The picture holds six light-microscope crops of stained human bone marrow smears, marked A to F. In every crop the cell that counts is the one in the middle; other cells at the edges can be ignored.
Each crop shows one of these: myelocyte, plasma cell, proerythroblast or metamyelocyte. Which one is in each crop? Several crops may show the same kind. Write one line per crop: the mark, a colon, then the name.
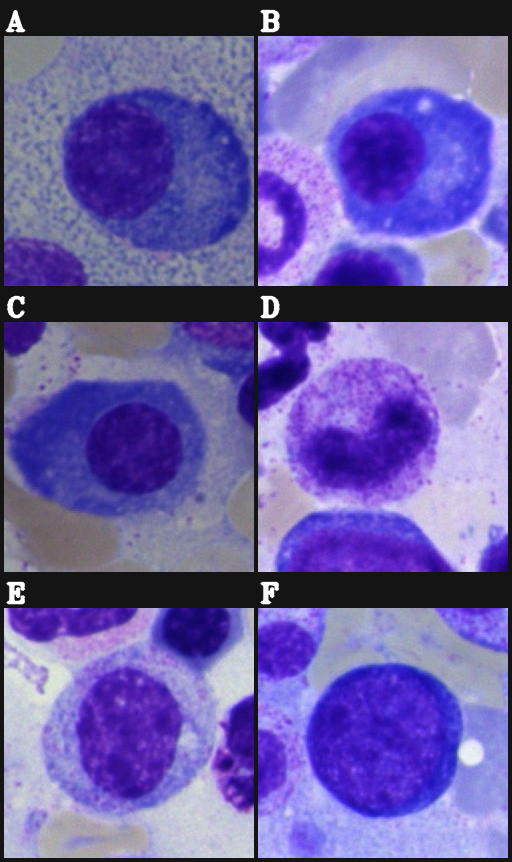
A: plasma cell
B: plasma cell
C: plasma cell
D: metamyelocyte
E: myelocyte
F: proerythroblast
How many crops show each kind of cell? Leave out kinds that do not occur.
plasma cell: 3
metamyelocyte: 1
myelocyte: 1
proerythroblast: 1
